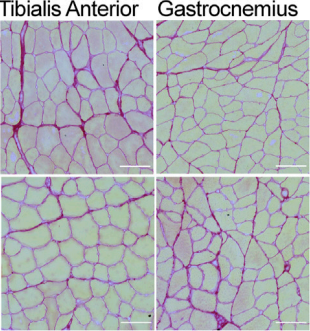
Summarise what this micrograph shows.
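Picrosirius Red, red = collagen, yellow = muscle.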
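Thicker red bands run between groups of fibres. The fibres are tightly packed and vary somewhat in size.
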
